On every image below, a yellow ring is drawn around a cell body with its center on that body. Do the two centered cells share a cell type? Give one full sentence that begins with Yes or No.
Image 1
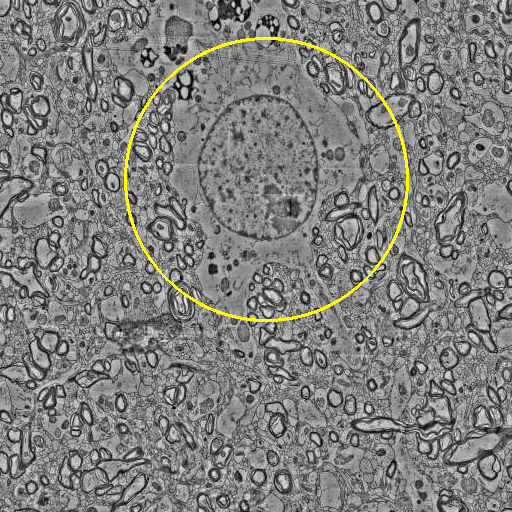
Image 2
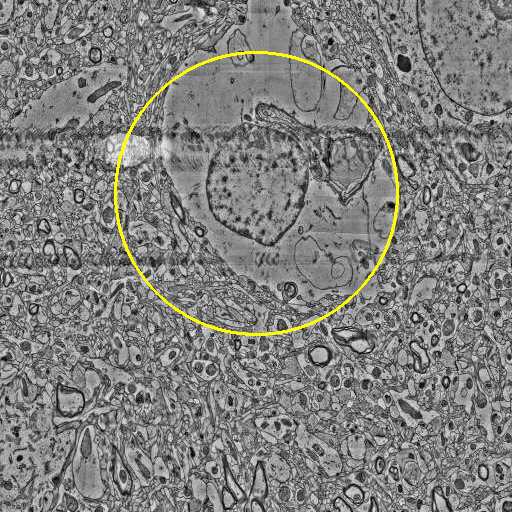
Yes, the centered cells in the two images are of a single cell type.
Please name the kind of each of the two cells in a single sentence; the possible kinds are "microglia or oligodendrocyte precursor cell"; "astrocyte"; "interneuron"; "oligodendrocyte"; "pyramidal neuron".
Each of the two cells is an astrocyte.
